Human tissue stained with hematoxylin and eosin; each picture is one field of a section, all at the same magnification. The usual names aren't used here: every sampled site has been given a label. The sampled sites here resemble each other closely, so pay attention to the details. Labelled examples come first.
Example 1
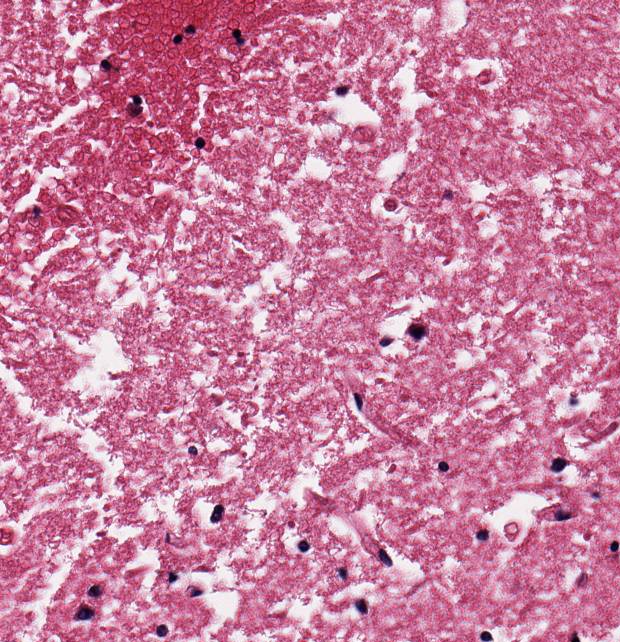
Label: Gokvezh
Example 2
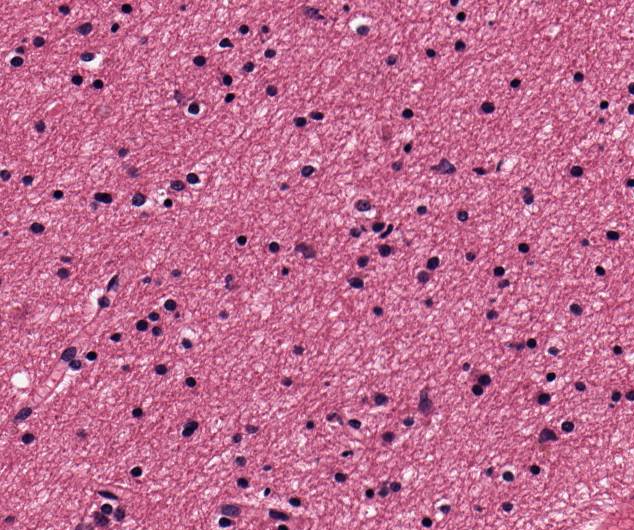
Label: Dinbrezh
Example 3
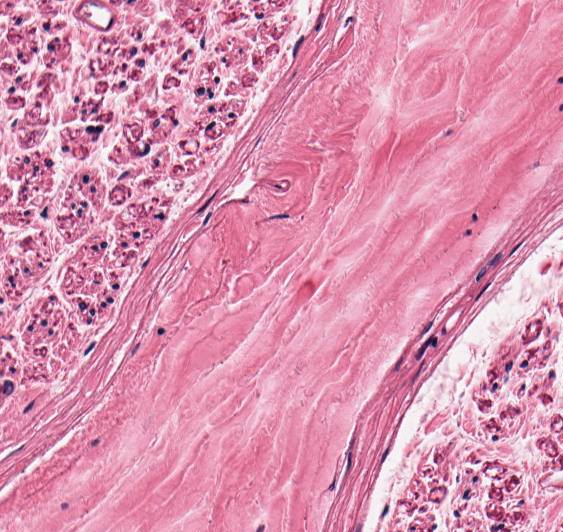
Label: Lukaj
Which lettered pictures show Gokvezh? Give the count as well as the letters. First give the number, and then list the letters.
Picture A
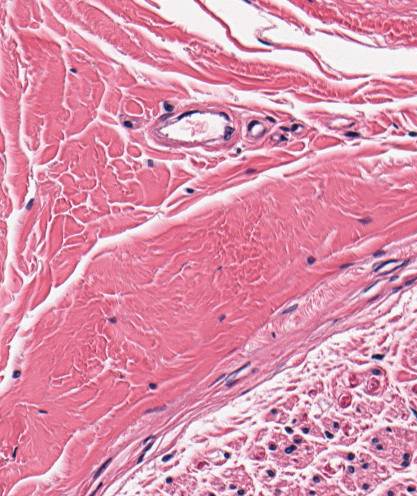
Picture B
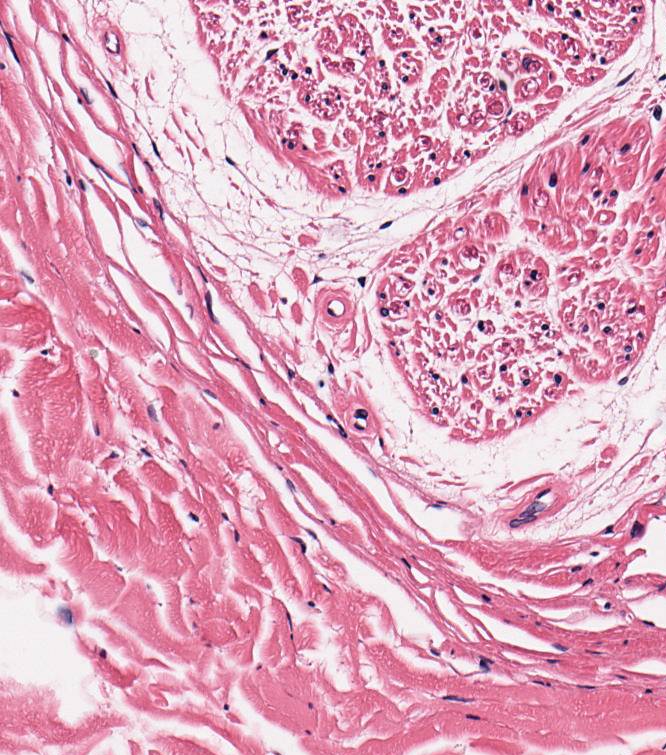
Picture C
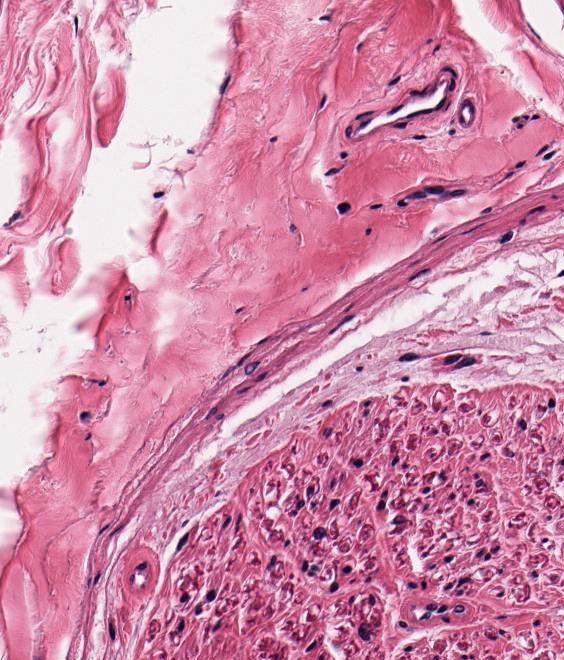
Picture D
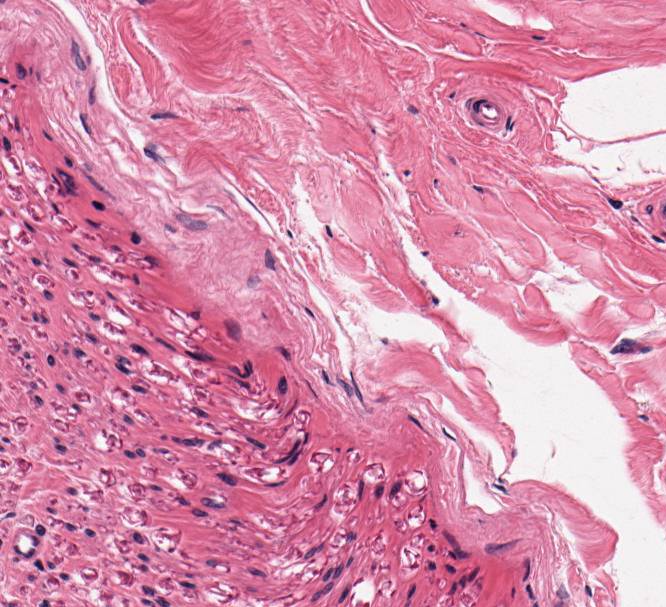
0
